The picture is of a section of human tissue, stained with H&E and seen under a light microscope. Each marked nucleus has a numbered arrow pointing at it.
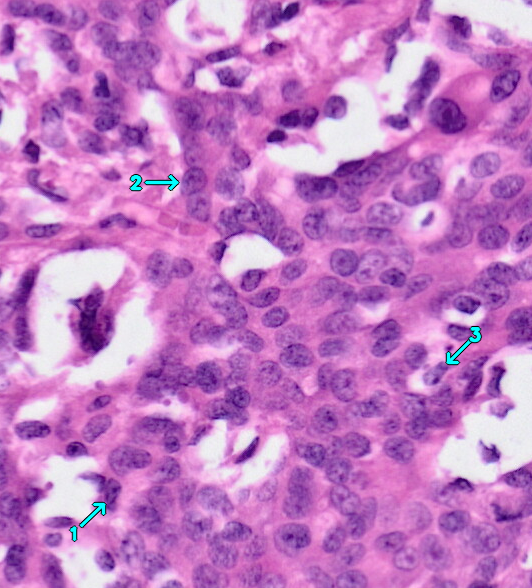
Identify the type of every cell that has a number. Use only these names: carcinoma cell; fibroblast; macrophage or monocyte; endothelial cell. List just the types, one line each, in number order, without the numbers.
macrophage or monocyte
carcinoma cell
macrophage or monocyte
